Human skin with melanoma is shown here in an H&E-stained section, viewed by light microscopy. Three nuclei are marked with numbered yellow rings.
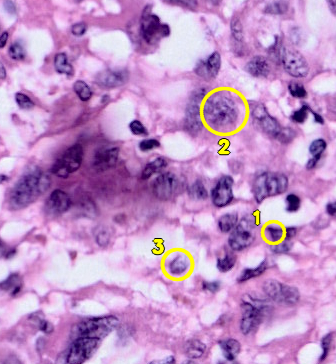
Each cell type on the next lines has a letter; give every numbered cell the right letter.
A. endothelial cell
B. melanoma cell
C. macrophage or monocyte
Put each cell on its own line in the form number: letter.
1: B
2: B
3: C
